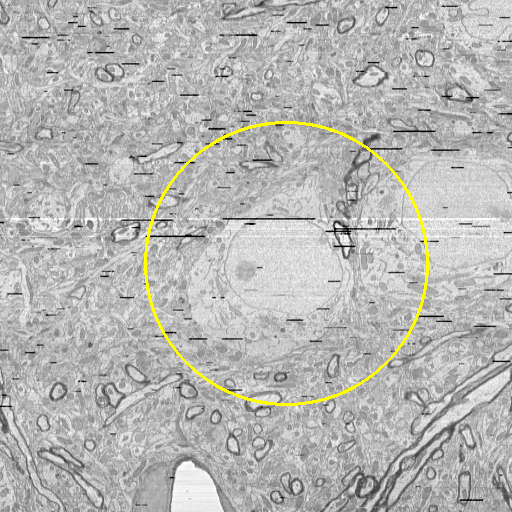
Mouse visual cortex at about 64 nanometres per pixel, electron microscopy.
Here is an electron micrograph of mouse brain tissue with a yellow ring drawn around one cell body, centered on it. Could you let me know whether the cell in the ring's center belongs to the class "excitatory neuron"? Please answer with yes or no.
yes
